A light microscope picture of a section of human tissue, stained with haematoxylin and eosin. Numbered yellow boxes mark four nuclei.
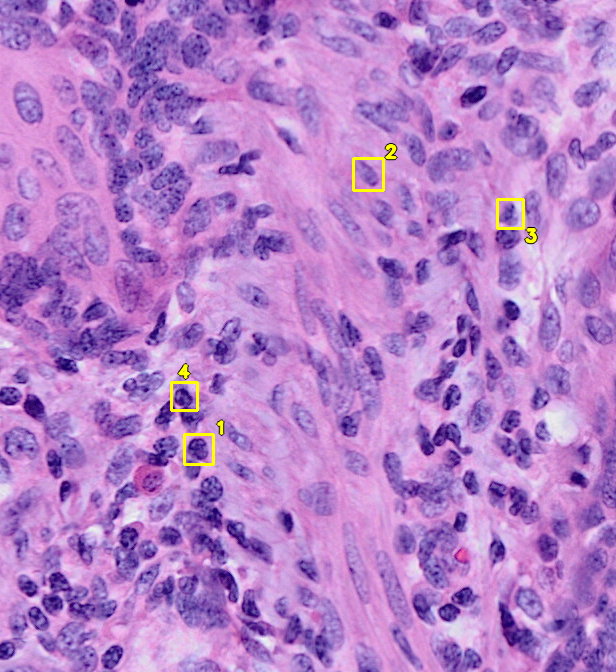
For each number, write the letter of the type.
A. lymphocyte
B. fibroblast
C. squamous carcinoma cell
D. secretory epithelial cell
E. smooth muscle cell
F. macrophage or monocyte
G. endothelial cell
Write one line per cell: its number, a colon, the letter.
1: A
2: E
3: A
4: A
